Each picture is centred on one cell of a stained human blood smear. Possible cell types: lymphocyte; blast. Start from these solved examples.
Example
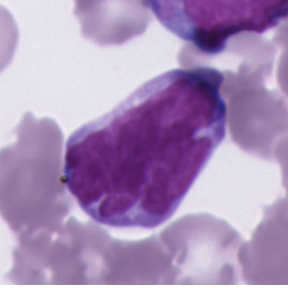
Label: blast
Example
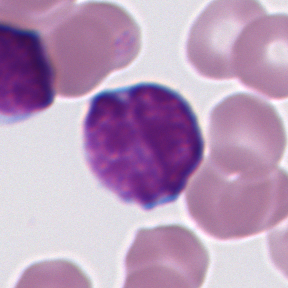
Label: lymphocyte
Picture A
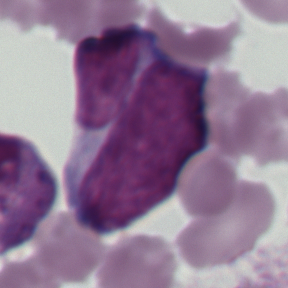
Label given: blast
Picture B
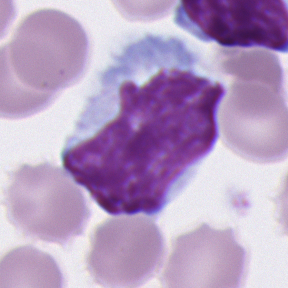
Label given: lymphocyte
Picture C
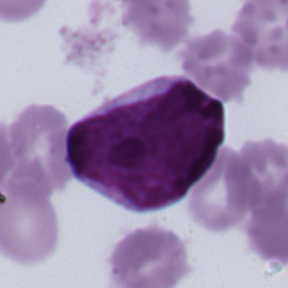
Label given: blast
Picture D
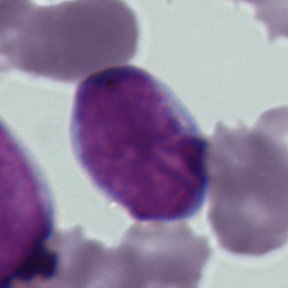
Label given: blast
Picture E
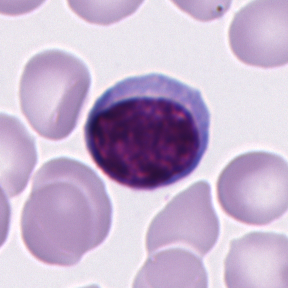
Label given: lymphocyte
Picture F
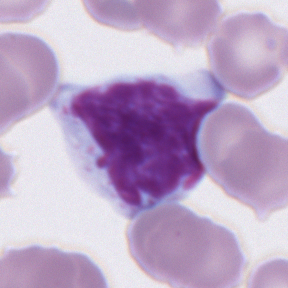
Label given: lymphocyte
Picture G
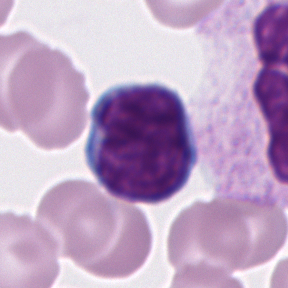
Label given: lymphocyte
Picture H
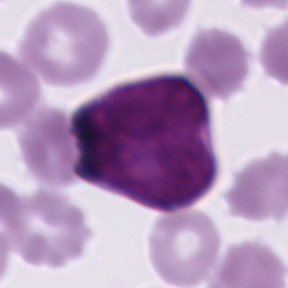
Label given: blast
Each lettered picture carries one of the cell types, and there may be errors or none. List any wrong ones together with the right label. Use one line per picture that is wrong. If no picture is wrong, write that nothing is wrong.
No label is wrong.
